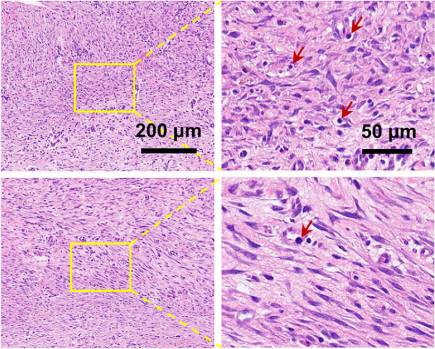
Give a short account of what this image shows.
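Most cells are spindle-shaped fibroblast-like cells with elongated purple nuclei lying along the pink fibres. In the upper enlargement the cells are plumper and less orderly, with some rounded nuclei and pale spaces between them. Scattered among them are small rounded cells with dark, compact nuclei, marked by red arrows. In the lower enlargement the spindle-shaped cells and their nuclei are more uniformly aligned in parallel streams, with only an occasional small dark-nucleated cell marked.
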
